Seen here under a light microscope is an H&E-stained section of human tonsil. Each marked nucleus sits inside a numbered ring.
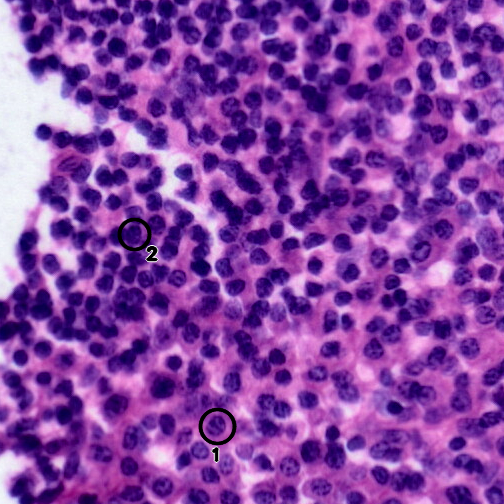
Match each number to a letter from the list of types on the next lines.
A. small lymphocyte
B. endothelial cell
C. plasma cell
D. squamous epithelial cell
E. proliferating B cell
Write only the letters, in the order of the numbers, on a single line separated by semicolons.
C; A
